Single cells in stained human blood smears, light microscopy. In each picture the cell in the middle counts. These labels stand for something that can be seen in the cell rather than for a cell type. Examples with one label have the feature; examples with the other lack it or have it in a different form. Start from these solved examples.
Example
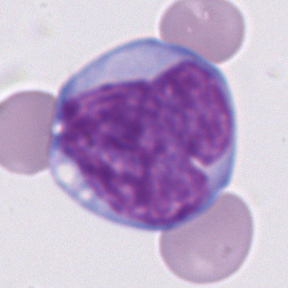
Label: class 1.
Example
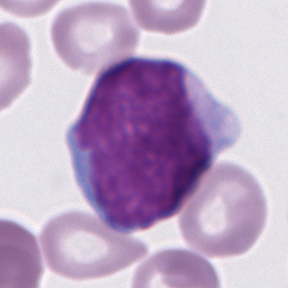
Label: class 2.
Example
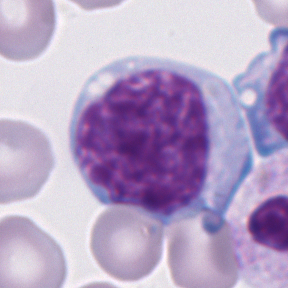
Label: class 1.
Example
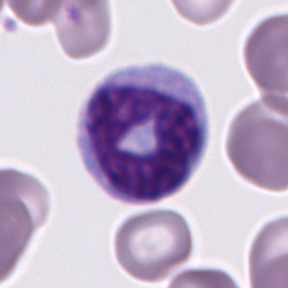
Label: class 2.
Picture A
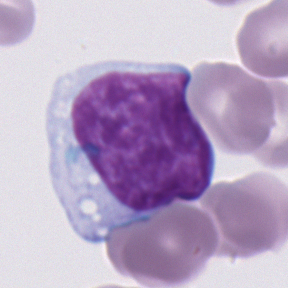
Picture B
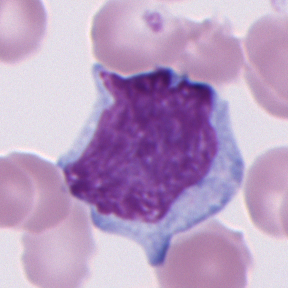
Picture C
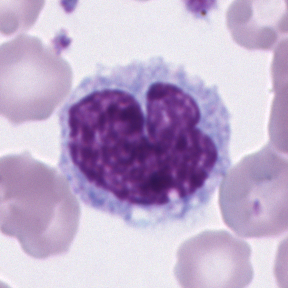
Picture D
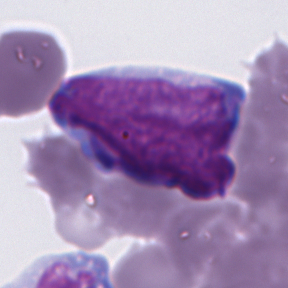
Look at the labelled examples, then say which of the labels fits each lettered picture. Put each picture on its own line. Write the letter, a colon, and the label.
A: class 1.
B: class 2.
C: class 1.
D: class 2.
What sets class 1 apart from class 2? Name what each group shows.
Seen in class 1: vacuoles present; seen in class 2: no vacuoles.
